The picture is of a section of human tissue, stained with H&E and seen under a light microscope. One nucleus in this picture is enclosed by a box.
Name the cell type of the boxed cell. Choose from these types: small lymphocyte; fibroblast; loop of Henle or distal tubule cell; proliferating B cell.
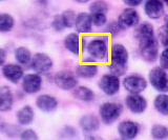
small lymphocyte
